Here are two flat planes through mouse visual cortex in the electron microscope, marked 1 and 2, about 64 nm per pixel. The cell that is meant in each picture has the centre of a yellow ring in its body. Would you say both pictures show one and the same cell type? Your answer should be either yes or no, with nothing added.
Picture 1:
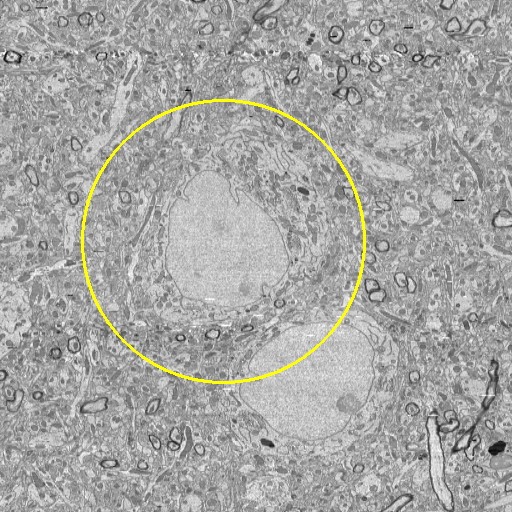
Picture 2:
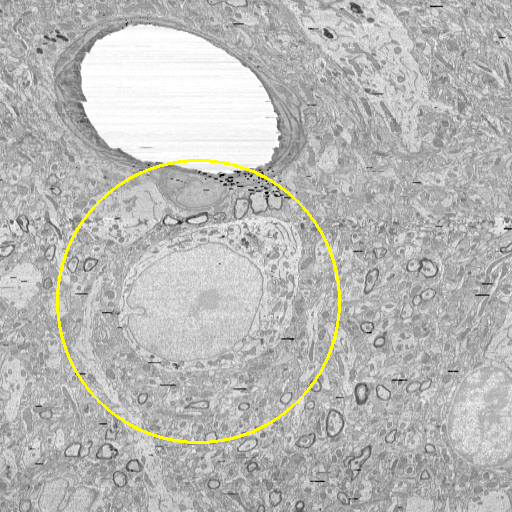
yes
